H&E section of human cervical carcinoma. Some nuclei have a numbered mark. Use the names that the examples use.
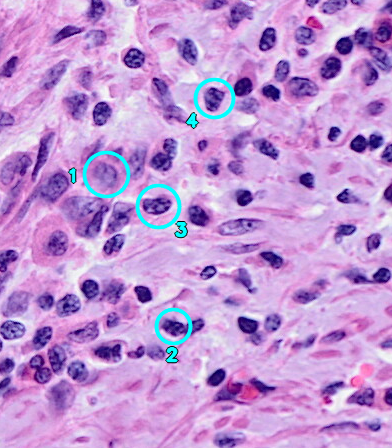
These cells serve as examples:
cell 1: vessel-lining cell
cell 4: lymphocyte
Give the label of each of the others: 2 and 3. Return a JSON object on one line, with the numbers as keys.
{"2": "lymphocyte", "3": "lymphocyte"}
